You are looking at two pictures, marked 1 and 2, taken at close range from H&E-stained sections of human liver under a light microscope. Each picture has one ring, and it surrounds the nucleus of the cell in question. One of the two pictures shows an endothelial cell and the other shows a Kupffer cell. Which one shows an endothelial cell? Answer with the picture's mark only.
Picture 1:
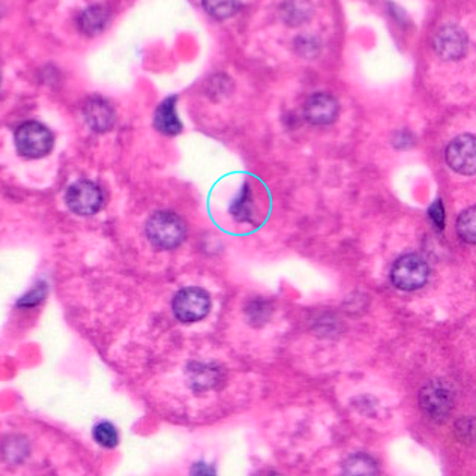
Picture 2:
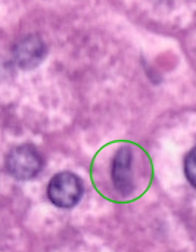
1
